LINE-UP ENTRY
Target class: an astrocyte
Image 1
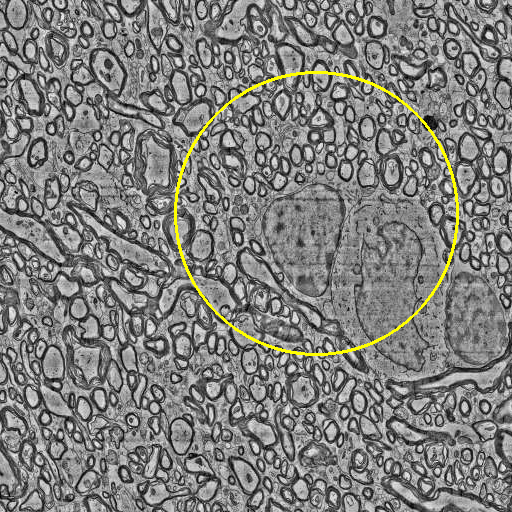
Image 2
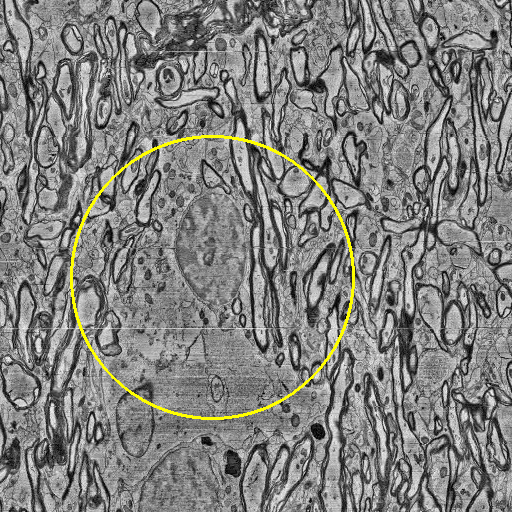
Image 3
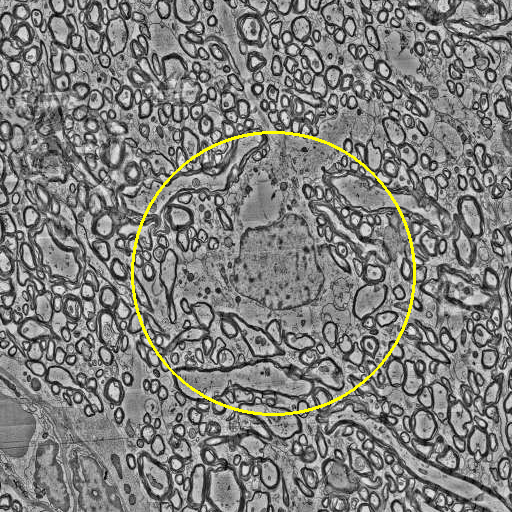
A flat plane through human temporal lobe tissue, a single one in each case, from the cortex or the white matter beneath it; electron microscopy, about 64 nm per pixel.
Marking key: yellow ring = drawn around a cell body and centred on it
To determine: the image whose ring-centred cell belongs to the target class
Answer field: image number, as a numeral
3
